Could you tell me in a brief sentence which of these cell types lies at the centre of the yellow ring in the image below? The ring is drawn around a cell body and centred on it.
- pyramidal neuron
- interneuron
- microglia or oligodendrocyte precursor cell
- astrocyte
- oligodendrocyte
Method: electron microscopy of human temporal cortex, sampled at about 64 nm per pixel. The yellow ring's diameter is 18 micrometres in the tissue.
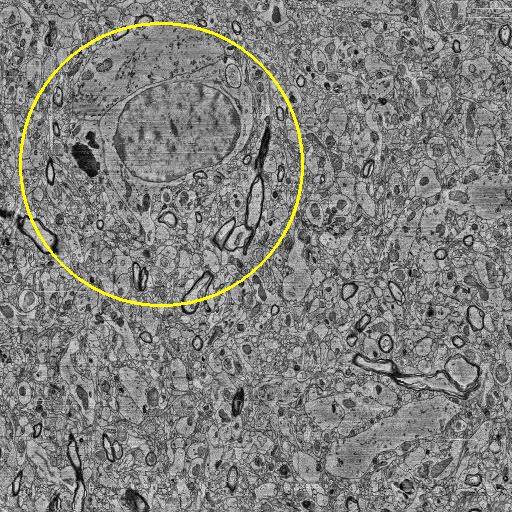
The cell centred in the ring is a microglial cell or oligodendrocyte precursor cell.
